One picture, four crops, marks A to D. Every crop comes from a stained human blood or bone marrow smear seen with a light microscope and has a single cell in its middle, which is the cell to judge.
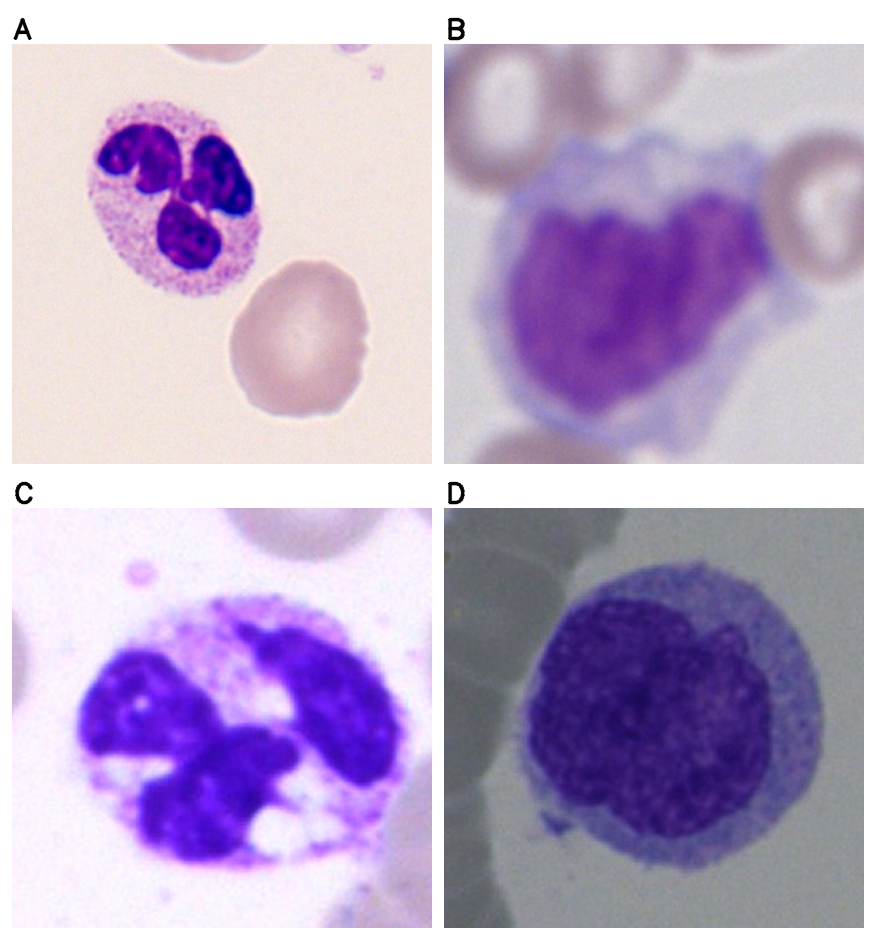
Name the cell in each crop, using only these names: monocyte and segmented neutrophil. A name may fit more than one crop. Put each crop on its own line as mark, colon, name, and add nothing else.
A: segmented neutrophil
B: monocyte
C: segmented neutrophil
D: monocyte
